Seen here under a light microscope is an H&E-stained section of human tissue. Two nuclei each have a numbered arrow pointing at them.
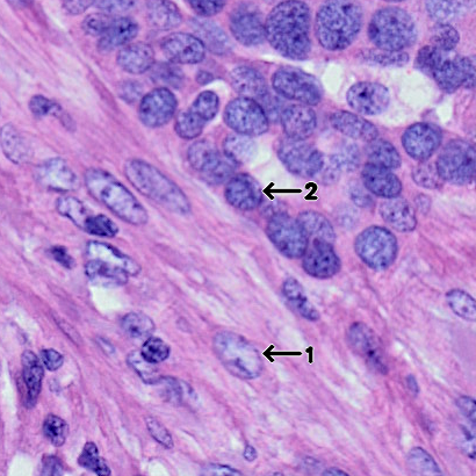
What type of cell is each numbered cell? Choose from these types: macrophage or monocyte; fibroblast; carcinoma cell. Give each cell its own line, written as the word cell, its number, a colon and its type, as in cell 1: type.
cell 1: fibroblast
cell 2: carcinoma cell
